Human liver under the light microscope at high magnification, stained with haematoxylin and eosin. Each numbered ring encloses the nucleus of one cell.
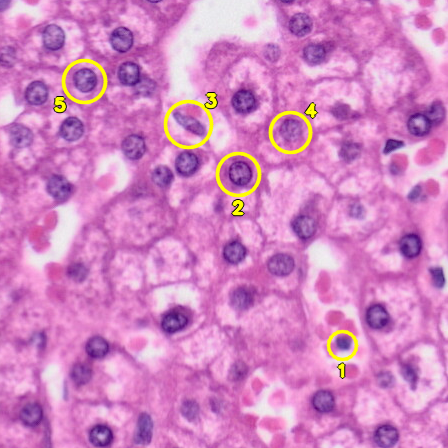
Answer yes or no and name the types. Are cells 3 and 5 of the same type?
No, as to type, cell 3 is a Kupffer cell, and cell 5 is a hepatocyte.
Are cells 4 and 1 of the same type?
No, cell 4 is a hepatocyte, while cell 1 is a lymphocyte.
